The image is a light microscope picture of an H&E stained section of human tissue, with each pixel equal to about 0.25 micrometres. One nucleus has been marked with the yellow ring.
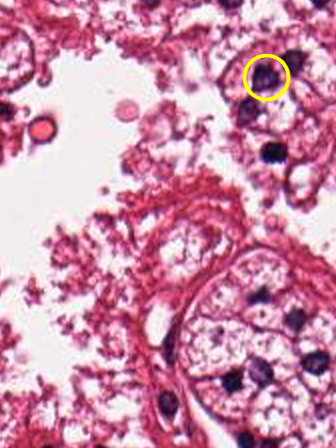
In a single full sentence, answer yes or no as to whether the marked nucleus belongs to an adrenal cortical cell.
Yes, an adrenal cortical cell is the owner of the marked nucleus.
